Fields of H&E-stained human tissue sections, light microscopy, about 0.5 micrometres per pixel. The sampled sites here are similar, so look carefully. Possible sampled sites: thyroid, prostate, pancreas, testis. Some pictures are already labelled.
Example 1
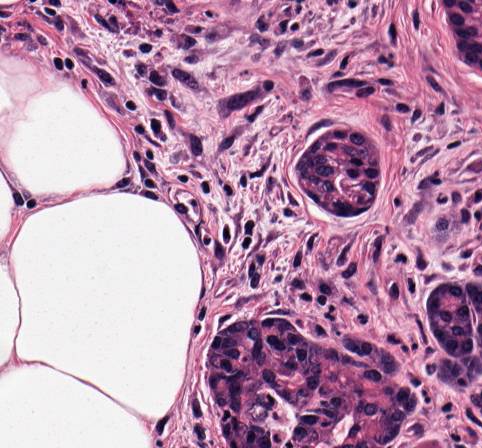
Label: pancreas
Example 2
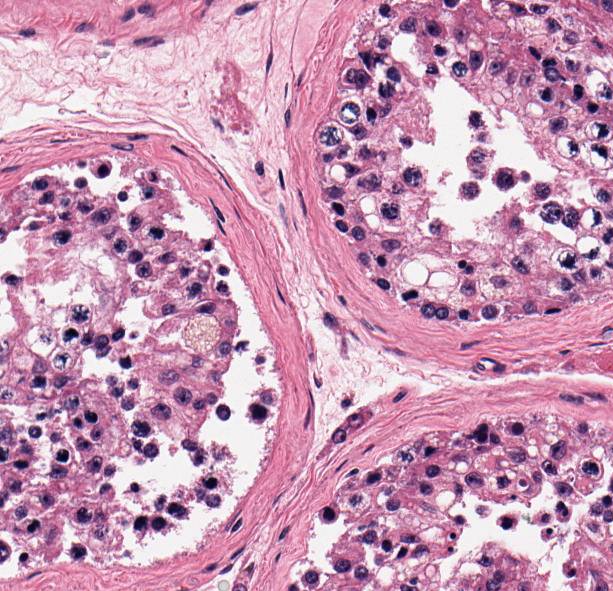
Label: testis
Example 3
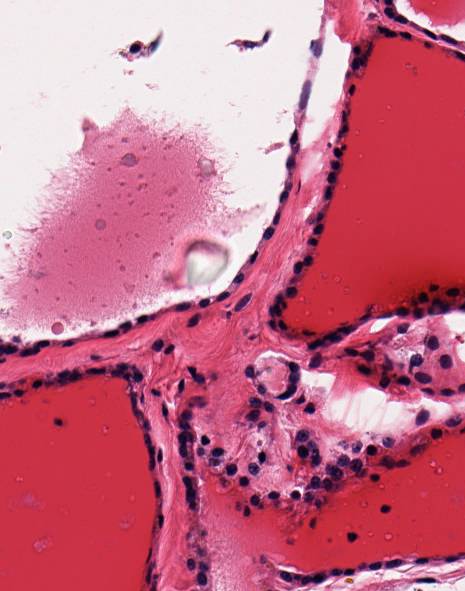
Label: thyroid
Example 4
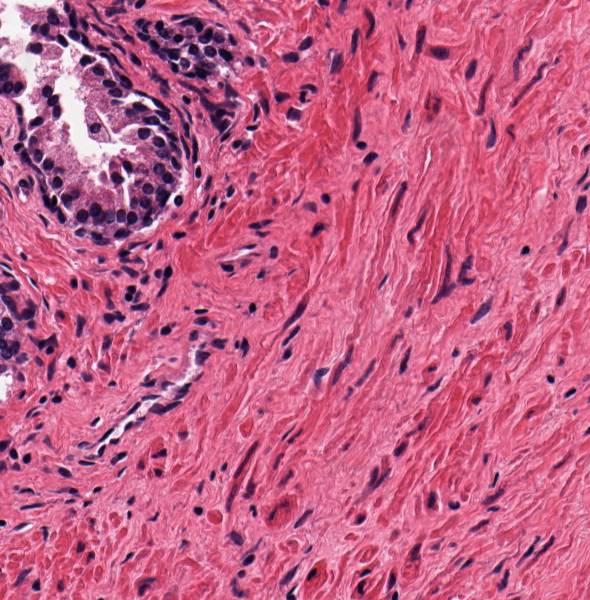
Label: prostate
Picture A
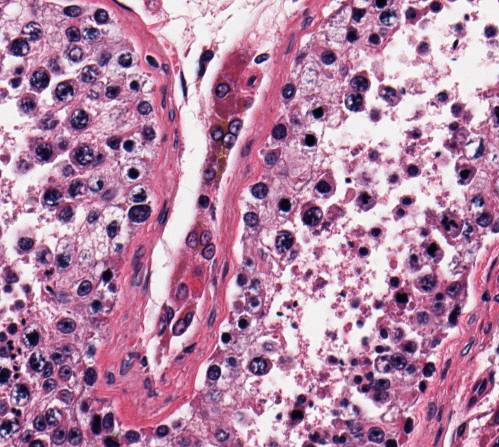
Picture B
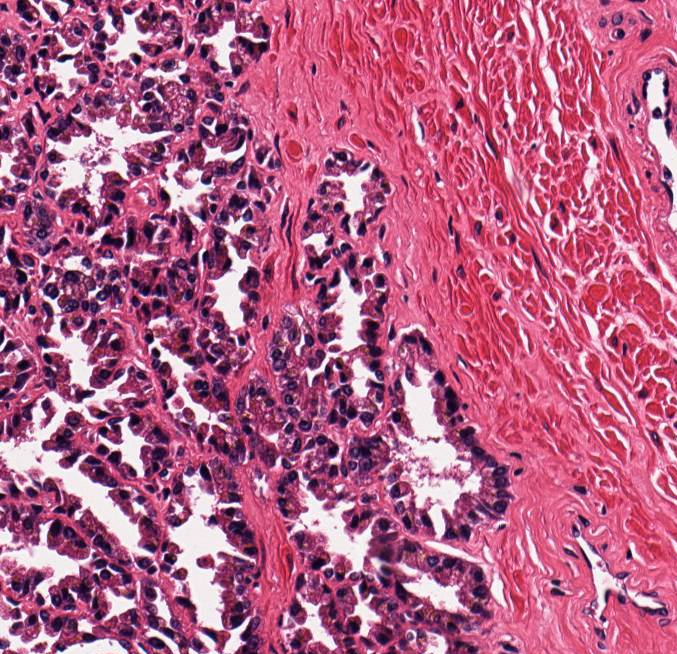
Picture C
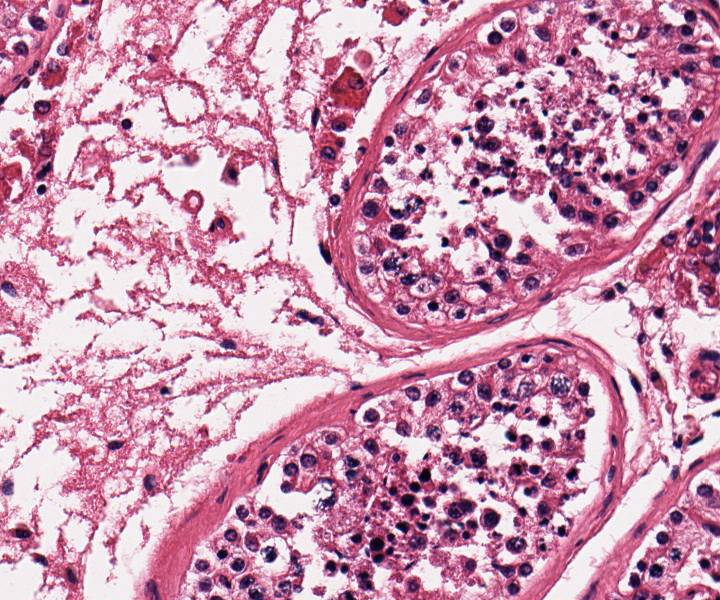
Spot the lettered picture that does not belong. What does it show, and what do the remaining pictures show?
Exception: B, showing prostate. Remaining pictures: testis.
